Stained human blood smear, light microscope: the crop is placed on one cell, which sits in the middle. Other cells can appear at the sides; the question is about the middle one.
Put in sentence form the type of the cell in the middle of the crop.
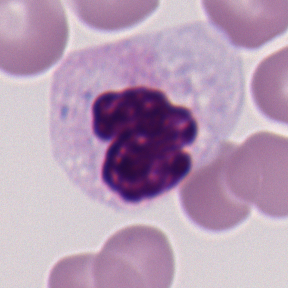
The crop centres on a single cell, and that cell is a segmented neutrophil.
